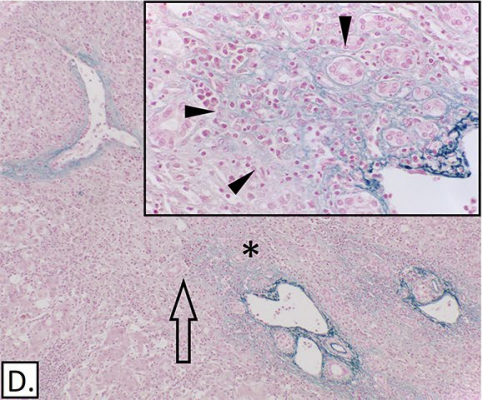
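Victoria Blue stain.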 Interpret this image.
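Periportal liver with a ductular reaction: small round and tubular clusters of cuboidal cells with round nuclei lie among pink hepatocytes beside portal vessels. Fine blue-green fibres thread between the ductules and condense around the vessel walls, which stain deep blue-green.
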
